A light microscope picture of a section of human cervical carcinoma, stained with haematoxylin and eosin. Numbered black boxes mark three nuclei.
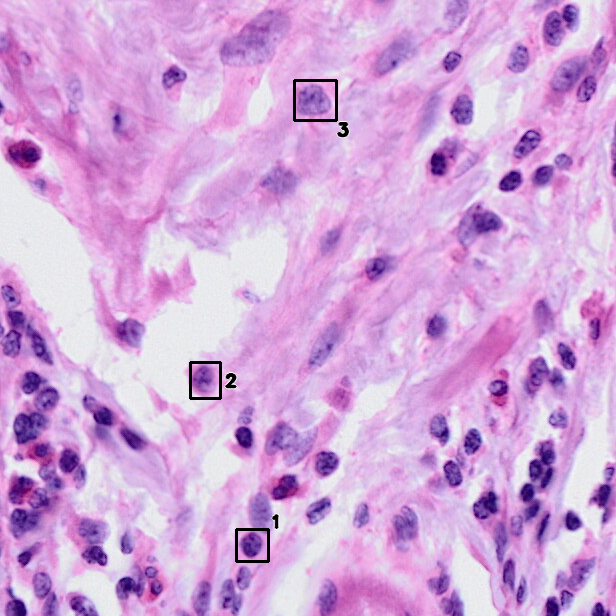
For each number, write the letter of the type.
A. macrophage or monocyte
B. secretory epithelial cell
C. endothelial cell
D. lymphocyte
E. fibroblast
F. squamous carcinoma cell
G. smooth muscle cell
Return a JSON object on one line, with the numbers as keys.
{"1": "D", "2": "A", "3": "A"}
